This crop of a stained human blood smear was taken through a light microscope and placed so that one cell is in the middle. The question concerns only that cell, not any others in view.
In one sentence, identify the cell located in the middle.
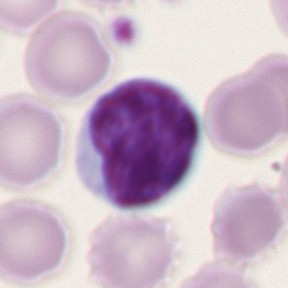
Classification of the middle cell gives a typical lymphocyte.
